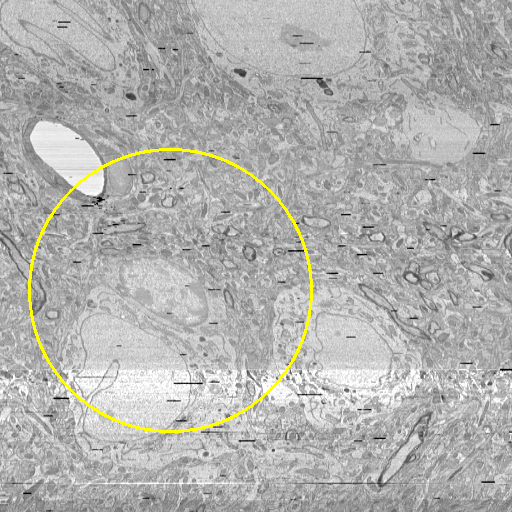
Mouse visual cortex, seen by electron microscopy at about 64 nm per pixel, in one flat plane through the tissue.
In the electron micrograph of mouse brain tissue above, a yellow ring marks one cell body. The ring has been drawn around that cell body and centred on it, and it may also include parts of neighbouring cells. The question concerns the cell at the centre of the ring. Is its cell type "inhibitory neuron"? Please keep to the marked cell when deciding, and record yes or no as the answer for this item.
no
